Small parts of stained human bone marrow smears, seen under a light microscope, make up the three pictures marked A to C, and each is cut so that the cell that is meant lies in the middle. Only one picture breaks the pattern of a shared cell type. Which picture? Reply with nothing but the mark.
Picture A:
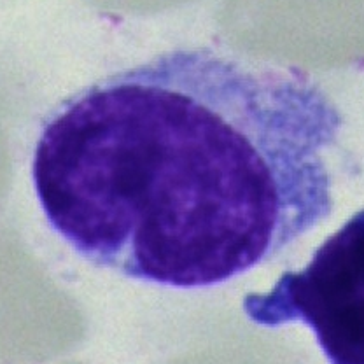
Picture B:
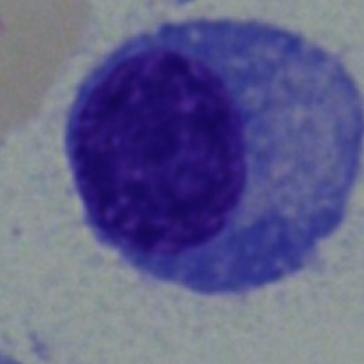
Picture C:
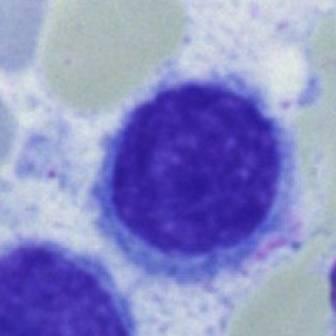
B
